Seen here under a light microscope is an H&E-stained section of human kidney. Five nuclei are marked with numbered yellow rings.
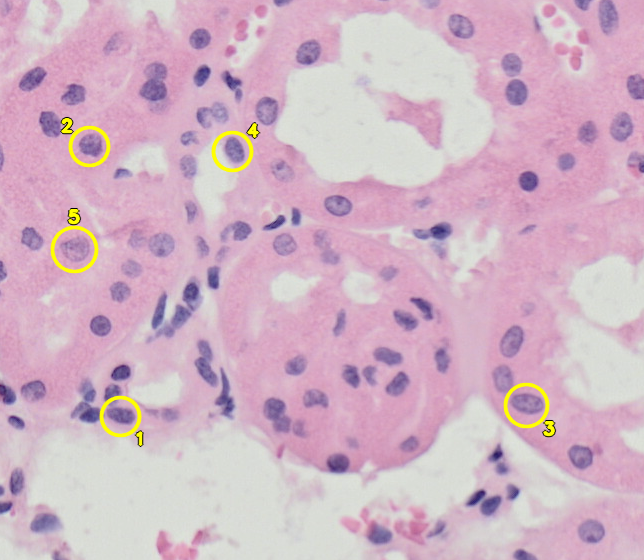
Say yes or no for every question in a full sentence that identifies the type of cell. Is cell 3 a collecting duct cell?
No, the cell denoted 3 is a proximal tubule cell rather than a collecting duct cell.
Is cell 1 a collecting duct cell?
Yes, the marked cell numbered 1 is a collecting duct cell.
